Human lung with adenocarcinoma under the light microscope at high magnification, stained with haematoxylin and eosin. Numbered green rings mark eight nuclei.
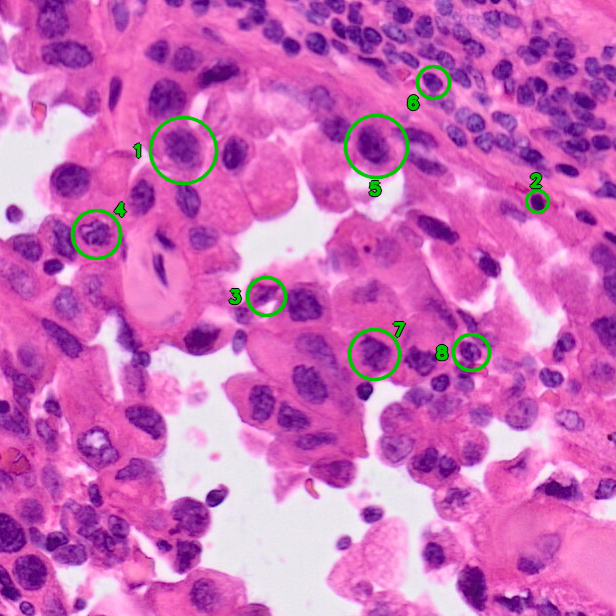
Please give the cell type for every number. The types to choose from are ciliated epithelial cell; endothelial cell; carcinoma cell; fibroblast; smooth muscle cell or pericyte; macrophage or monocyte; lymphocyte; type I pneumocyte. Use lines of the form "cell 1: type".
cell 1: carcinoma cell
cell 2: lymphocyte
cell 3: carcinoma cell
cell 4: carcinoma cell
cell 5: carcinoma cell
cell 6: lymphocyte
cell 7: carcinoma cell
cell 8: lymphocyte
